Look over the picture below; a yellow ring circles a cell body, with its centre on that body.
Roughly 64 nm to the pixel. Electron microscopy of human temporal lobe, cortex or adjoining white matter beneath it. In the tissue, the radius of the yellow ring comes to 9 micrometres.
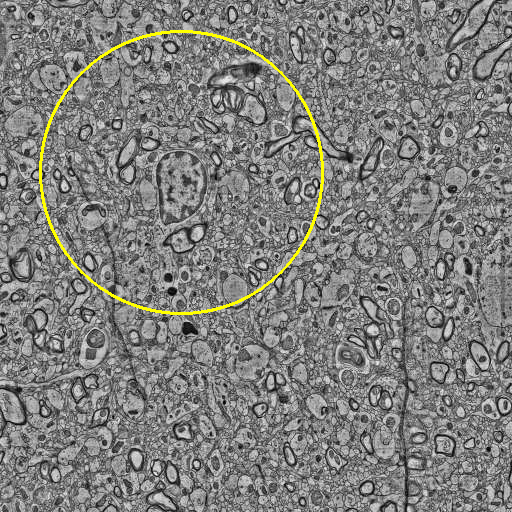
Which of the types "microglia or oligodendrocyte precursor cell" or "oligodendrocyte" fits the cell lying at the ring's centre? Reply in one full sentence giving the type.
The picture shows a microglial cell or oligodendrocyte precursor cell at the centre of the yellow ring.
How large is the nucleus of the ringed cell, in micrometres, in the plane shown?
The nucleus appears roughly 4 by 3 micrometres in this plane.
